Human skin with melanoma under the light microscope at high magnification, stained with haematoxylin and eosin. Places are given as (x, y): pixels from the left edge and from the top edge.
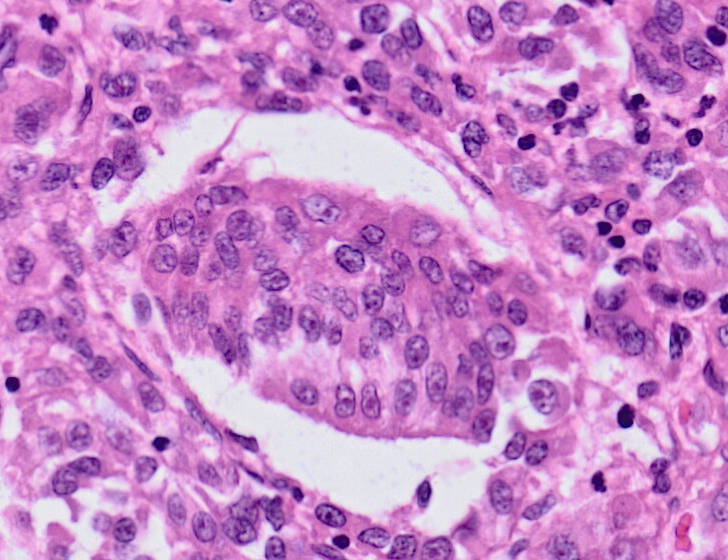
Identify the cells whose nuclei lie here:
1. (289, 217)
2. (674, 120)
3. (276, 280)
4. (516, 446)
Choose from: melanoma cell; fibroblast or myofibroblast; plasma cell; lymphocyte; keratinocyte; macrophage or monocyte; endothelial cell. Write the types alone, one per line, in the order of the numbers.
melanoma cell
fibroblast or myofibroblast
melanoma cell
melanoma cell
